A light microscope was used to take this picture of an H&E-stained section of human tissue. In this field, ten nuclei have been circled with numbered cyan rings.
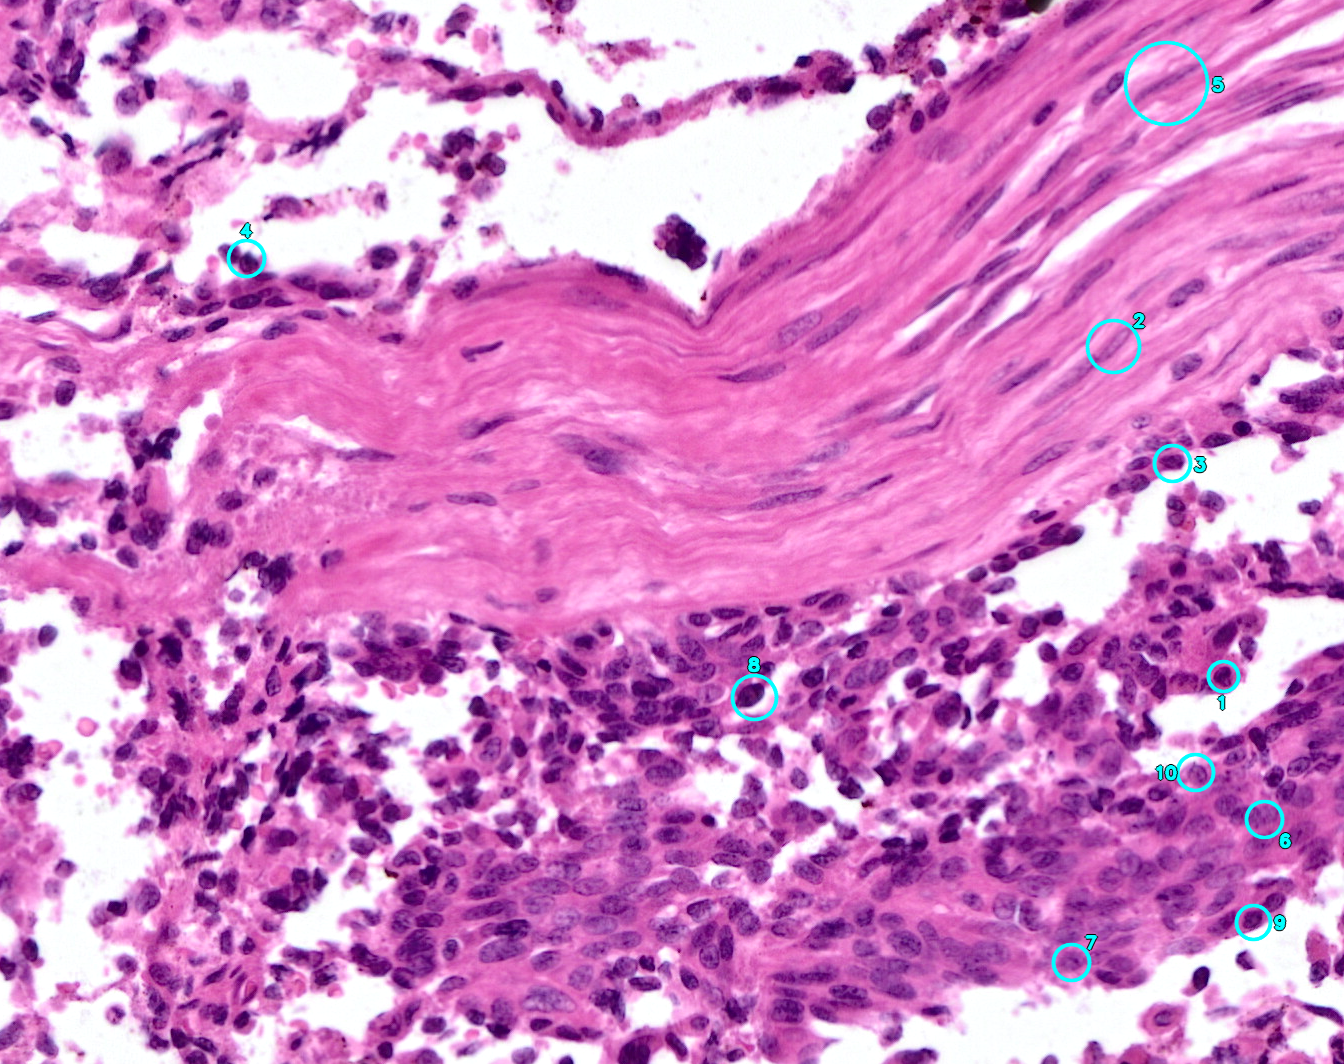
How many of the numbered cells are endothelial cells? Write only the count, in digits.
0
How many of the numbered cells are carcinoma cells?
6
